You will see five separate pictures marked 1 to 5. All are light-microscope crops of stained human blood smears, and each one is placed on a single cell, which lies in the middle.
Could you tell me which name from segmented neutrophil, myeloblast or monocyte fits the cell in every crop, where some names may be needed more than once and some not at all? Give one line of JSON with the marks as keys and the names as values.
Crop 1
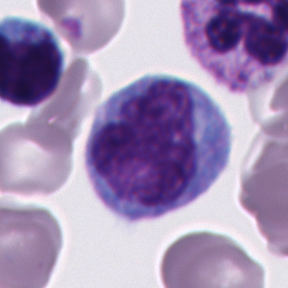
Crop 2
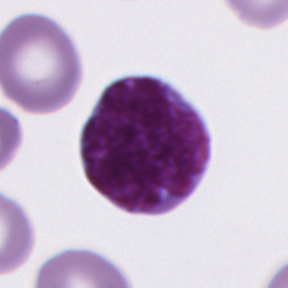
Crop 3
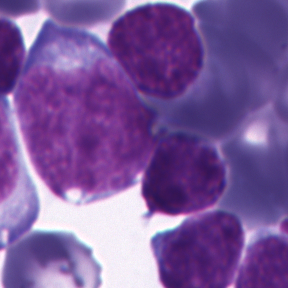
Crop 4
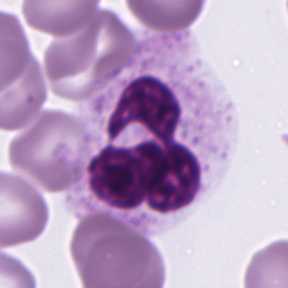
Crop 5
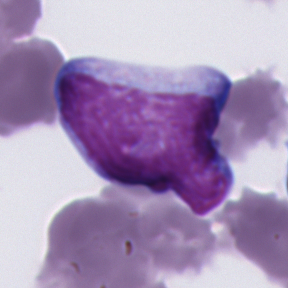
{"1": "monocyte", "2": "myeloblast", "3": "myeloblast", "4": "segmented neutrophil", "5": "myeloblast"}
